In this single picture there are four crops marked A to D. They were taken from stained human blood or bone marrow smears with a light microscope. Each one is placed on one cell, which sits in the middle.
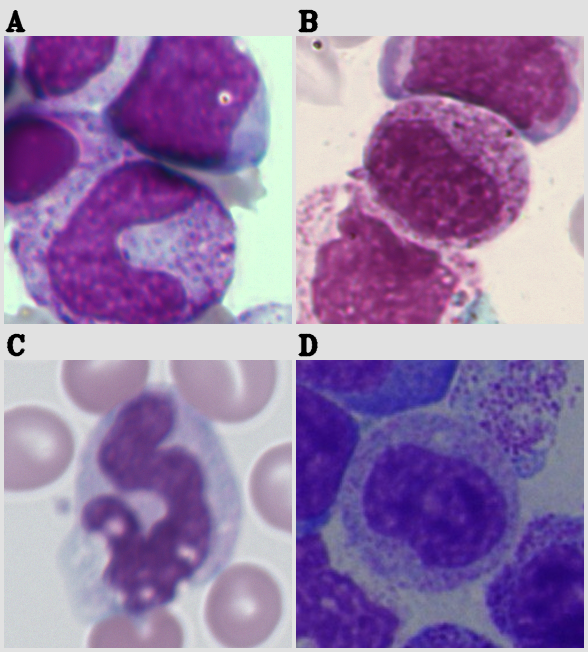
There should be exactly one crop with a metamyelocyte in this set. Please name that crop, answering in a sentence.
Of the labelled crops, the one that shows a metamyelocyte is crop D.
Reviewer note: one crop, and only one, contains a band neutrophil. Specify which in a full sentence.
Crop A is the crop in which a band neutrophil is shown.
